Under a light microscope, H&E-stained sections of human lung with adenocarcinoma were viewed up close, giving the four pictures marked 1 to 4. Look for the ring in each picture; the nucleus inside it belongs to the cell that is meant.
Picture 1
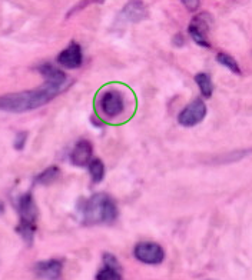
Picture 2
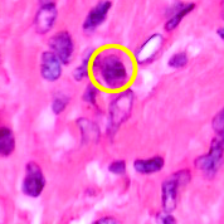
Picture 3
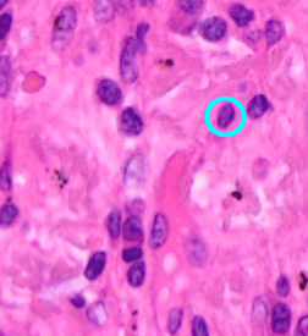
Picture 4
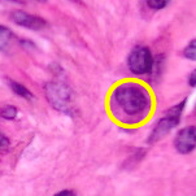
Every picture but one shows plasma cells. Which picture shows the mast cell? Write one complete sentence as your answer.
It is picture 3 that shows the mast cell.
